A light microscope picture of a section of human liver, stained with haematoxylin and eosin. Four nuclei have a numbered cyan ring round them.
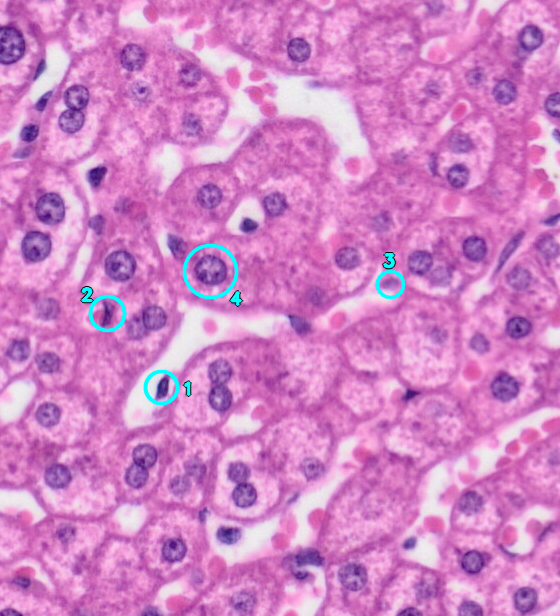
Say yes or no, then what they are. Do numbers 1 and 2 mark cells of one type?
No, by type, cell 1 is a lymphocyte and cell 2 is an endothelial cell.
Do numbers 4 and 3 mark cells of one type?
No, cell 4 is a hepatocyte, whereas cell 3, for its part, is a Kupffer cell.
